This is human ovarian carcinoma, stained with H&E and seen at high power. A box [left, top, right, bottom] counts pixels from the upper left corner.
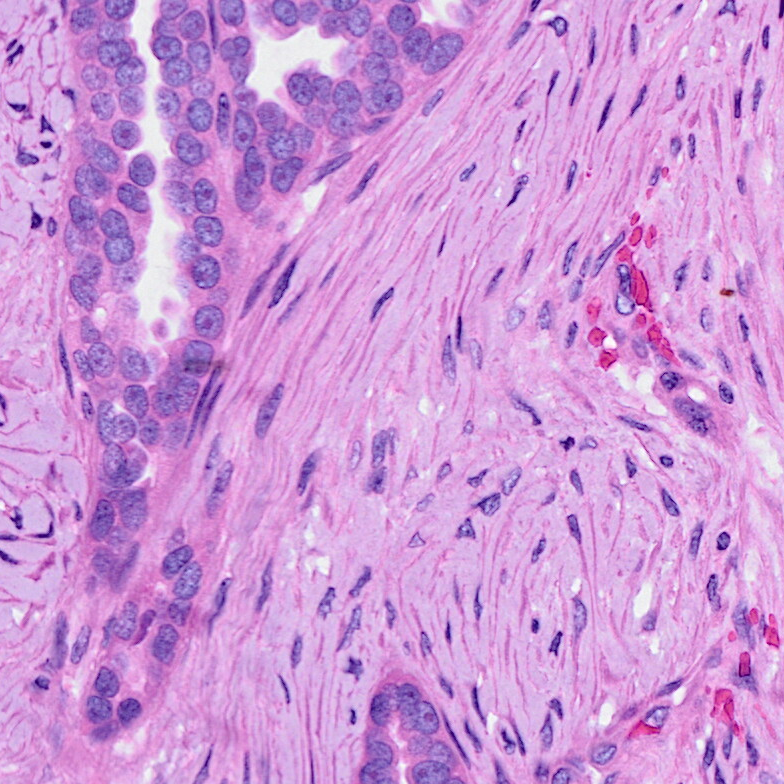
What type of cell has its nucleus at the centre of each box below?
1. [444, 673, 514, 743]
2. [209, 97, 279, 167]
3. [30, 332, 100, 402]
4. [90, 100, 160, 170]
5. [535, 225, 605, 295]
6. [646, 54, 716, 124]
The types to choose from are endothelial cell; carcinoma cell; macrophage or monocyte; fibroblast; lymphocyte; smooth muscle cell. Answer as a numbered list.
1. fibroblast
2. carcinoma cell
3. fibroblast
4. carcinoma cell
5. fibroblast
6. fibroblast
